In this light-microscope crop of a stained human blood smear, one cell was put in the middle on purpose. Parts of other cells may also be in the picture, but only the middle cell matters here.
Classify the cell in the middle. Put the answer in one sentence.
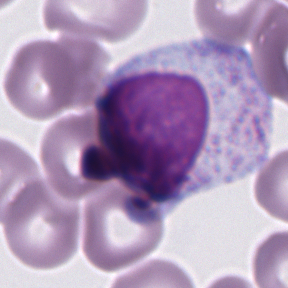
Here the cell in the middle is a myelocyte.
